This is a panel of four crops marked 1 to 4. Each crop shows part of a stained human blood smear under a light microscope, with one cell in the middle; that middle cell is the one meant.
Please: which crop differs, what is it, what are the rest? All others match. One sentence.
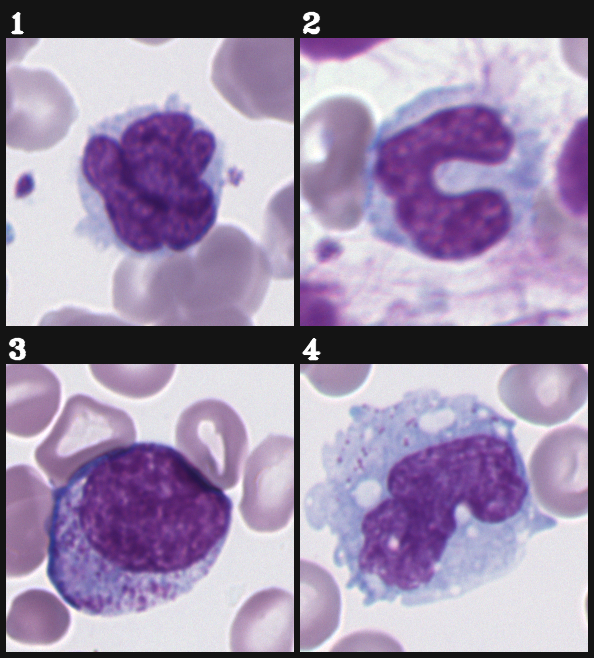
Crop 3 is the sole crop with a promyelocyte; the others all have monocytes.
